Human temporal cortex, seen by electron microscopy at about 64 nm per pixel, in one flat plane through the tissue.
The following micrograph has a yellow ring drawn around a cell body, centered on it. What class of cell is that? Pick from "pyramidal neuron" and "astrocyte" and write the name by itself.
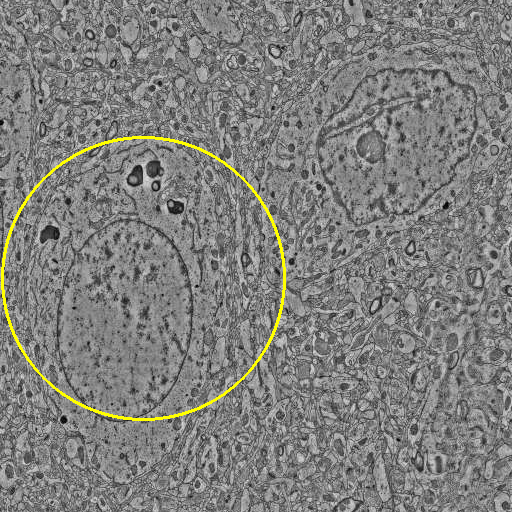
pyramidal neuron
